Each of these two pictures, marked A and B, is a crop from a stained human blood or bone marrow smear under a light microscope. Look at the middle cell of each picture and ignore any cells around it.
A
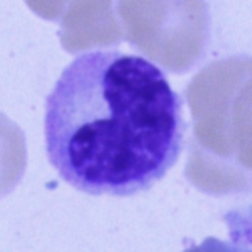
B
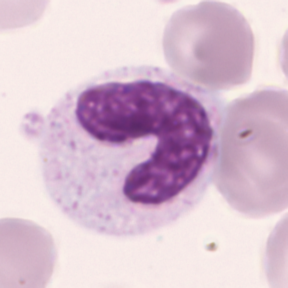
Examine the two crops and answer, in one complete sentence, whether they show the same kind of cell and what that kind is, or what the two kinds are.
No, the middle of crop A holds a metamyelocyte, and the middle of crop B holds a band neutrophil.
